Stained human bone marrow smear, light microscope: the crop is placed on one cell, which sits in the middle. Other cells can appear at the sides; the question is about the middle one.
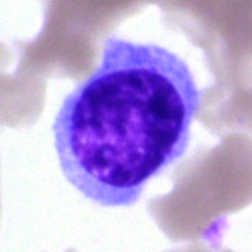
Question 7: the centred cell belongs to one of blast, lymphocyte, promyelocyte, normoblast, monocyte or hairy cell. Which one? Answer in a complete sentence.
Framed in the middle of the crop is a hairy cell.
